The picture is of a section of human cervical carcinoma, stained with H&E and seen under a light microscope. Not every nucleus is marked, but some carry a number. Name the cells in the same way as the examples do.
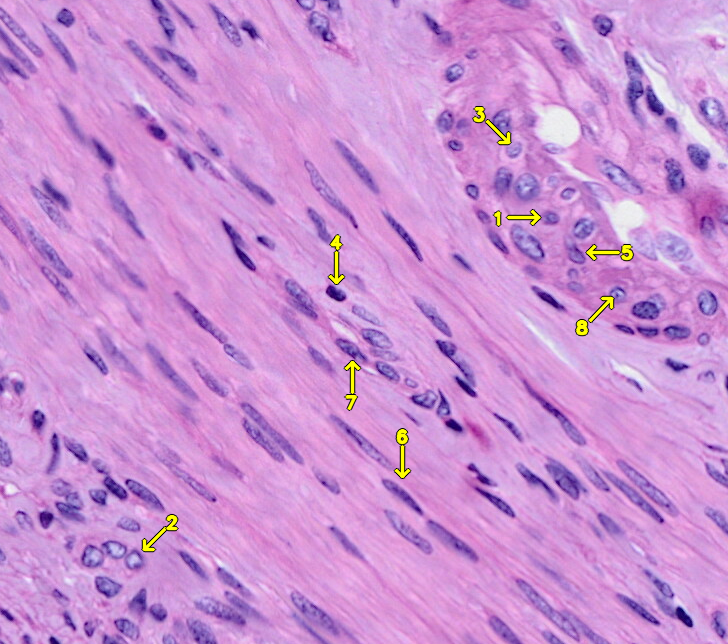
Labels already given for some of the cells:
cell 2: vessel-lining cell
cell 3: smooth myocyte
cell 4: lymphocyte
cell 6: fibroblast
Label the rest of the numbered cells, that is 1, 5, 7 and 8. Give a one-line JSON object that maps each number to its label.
{"1": "smooth myocyte", "5": "smooth myocyte", "7": "vessel-lining cell", "8": "smooth myocyte"}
